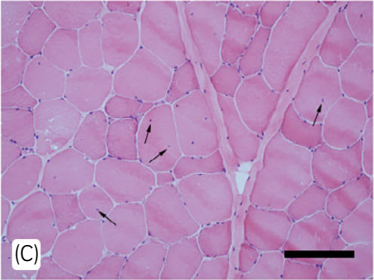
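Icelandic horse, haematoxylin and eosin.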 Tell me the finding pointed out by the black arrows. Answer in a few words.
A: Internalised nuclei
